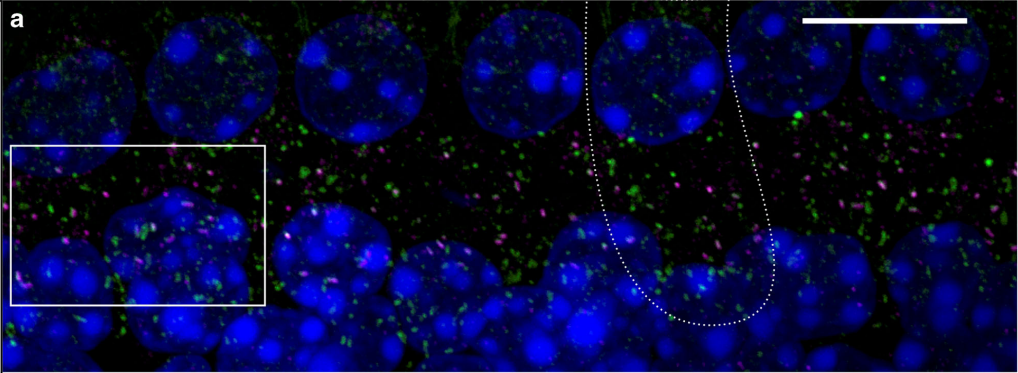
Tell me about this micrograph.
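A row of large, round nuclei with brighter blue spots runs across the upper part, and a crowded band of overlapping nuclei fills the lower part. Small, elongated green puncta are scattered through the whole field, both over and between the nuclei. Smaller magenta puncta lie mostly in the lower half, and many of them sit next to or on top of green puncta. A dotted line outlines the lower end of one cell, where such puncta gather.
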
